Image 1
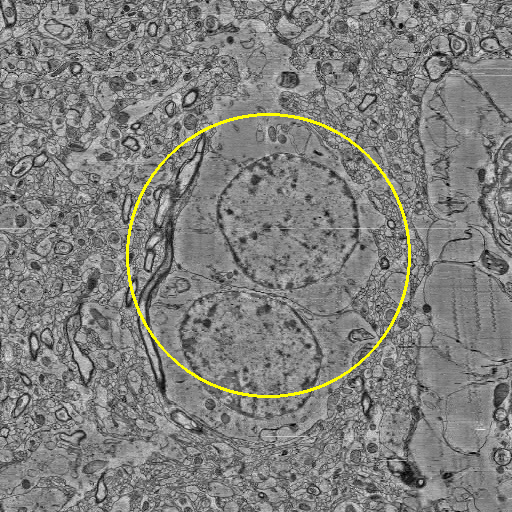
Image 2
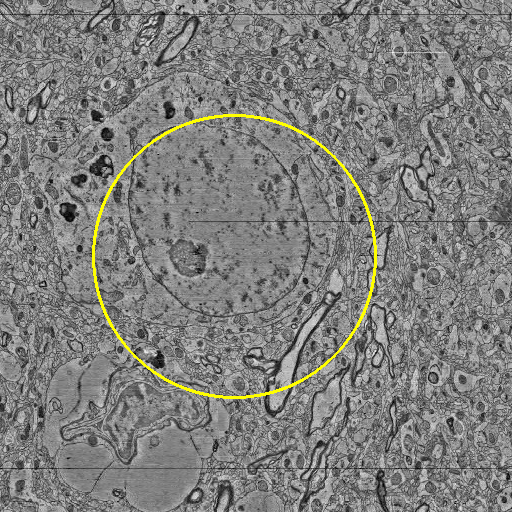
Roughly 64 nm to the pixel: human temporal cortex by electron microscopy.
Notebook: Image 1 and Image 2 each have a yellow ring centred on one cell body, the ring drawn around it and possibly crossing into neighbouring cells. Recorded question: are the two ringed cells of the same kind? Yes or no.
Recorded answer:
no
